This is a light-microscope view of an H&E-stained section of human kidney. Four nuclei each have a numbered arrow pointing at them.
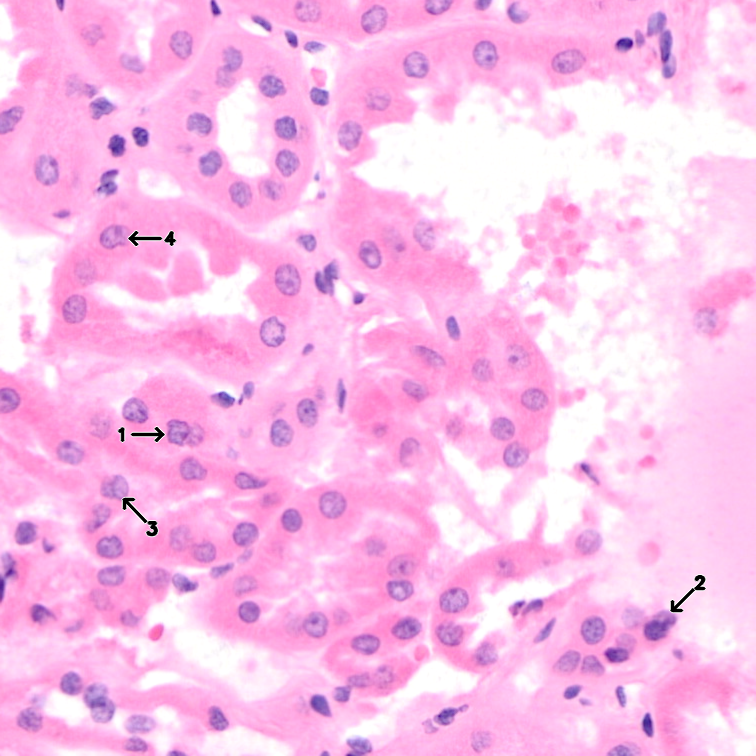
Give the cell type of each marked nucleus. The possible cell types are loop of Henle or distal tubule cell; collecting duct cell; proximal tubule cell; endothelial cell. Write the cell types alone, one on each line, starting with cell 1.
proximal tubule cell
collecting duct cell
proximal tubule cell
proximal tubule cell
